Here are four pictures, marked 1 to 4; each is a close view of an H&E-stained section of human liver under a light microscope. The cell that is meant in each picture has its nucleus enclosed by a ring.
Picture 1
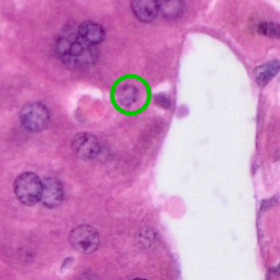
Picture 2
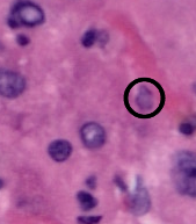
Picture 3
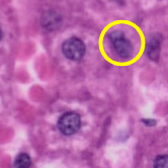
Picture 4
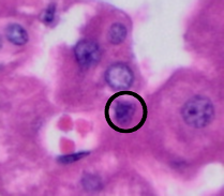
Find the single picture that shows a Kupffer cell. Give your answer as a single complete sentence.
Picture 2 is the one that shows the Kupffer cell.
